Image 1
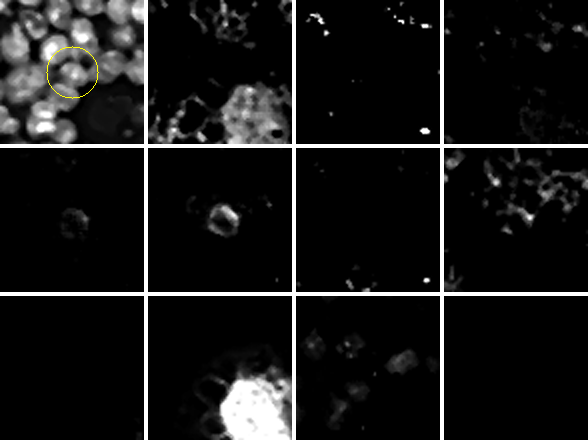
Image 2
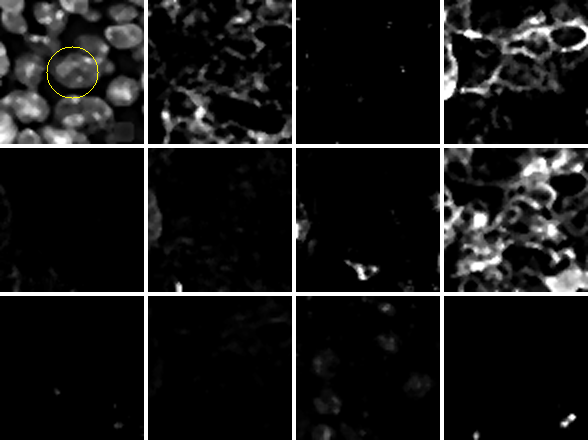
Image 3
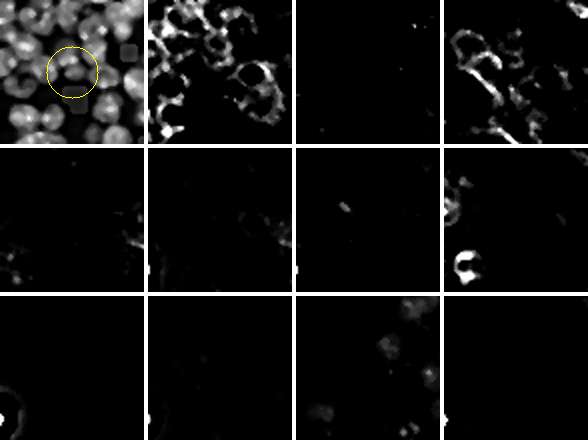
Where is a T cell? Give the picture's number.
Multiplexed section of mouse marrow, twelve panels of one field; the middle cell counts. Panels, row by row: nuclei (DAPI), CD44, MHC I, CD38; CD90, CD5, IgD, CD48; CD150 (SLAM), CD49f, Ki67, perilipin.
1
